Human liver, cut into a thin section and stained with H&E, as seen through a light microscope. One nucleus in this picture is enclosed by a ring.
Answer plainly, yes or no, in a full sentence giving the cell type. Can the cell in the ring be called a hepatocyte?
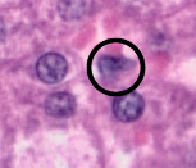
No, the cell in the ring is a Kupffer cell, and it is not a hepatocyte.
